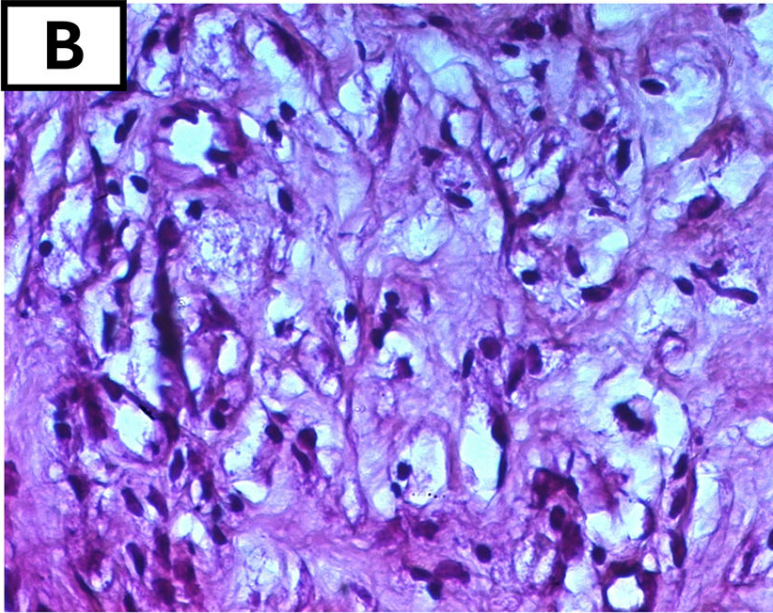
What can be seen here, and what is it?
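At high power, large rounded cells with pale, clear to finely bubbly cytoplasm lie packed among strands of purple-pink fibrous tissue. Their nuclei are small, dark and often pushed to one edge of the cell, while some elongated dark nuclei lie within the fibrous strands between them. These pale, vacuolated cells with small eccentric nuclei are lipid-laden histiocytes.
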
